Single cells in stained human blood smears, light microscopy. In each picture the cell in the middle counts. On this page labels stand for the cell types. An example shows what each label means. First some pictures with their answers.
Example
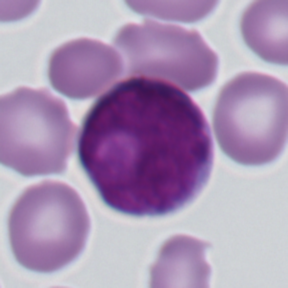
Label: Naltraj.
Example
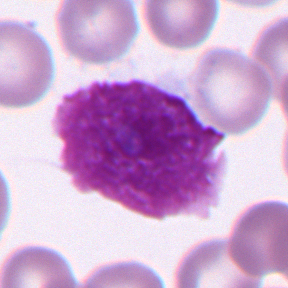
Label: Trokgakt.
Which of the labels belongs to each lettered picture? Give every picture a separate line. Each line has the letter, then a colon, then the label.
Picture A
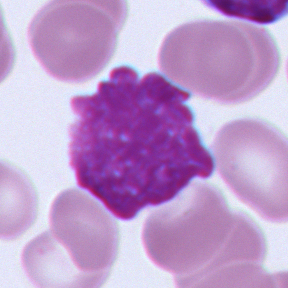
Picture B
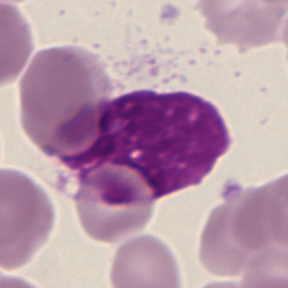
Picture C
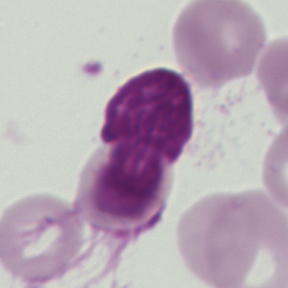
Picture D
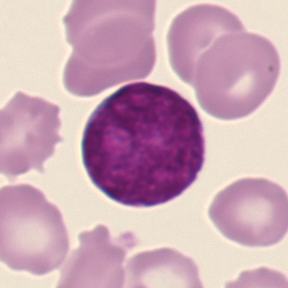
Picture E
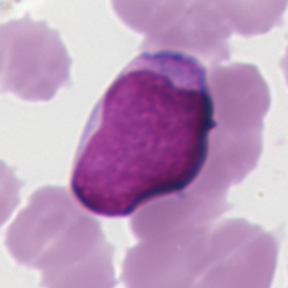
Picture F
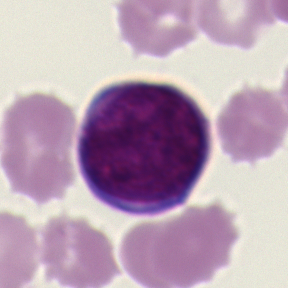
A: Trokgakt.
B: Trokgakt.
C: Trokgakt.
D: Naltraj.
E: Naltraj.
F: Naltraj.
